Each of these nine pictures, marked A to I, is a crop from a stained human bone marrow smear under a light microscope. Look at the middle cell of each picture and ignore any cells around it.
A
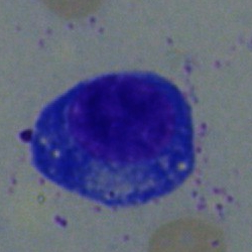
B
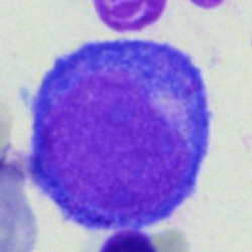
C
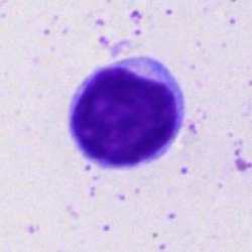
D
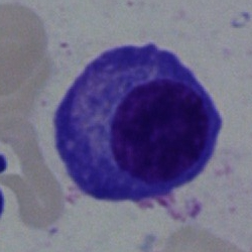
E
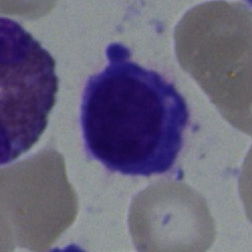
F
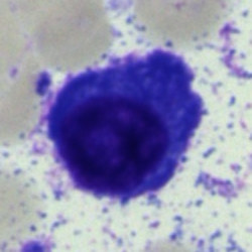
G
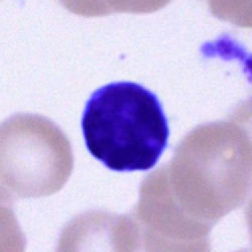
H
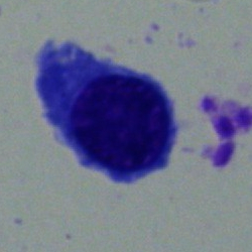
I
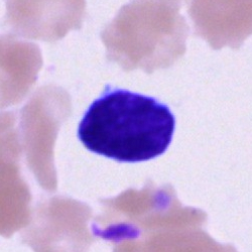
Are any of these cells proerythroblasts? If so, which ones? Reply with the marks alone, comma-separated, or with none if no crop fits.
B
